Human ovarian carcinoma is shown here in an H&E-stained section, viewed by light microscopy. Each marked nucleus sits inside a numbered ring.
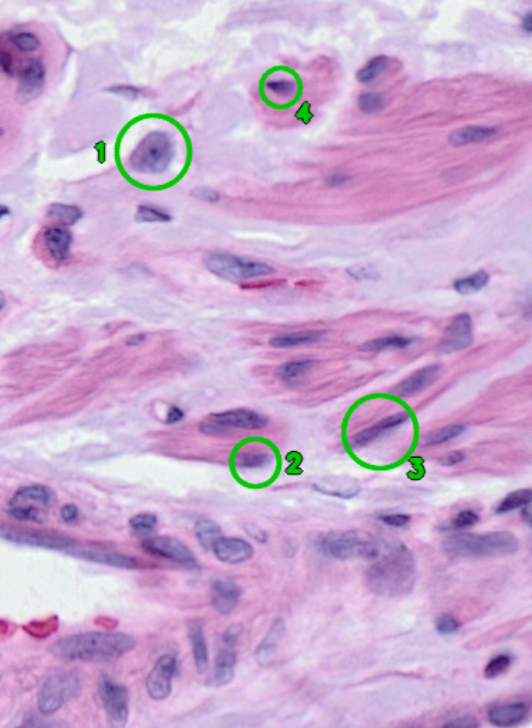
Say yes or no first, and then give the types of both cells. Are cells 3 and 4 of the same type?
Yes, the pair formed by cells 3 and 4 consists of two smooth muscle cells.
